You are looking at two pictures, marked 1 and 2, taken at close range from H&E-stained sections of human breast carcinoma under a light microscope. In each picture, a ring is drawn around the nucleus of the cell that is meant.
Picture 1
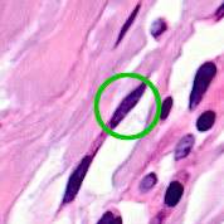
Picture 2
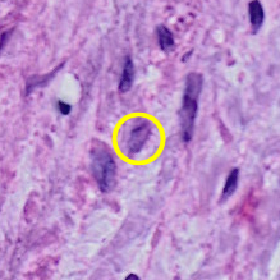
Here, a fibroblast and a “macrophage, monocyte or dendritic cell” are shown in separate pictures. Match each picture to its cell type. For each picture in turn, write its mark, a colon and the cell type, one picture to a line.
1: fibroblast
2: macrophage, monocyte or dendritic cell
